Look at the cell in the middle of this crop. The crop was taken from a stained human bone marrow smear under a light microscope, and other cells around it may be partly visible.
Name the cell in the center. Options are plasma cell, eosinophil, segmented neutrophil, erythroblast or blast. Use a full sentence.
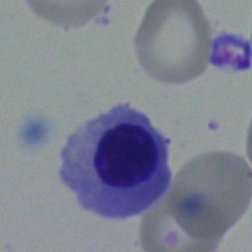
The cell found in the middle of this crop is an erythroblast.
